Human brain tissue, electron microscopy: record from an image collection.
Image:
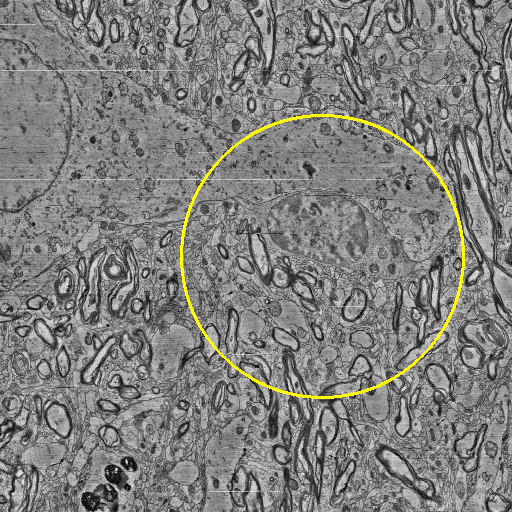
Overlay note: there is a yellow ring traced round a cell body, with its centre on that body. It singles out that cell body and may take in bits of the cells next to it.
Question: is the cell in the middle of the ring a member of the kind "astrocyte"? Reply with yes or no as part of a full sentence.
No, the image's ringed cell, the one at the ring's centre, is a member of another kind.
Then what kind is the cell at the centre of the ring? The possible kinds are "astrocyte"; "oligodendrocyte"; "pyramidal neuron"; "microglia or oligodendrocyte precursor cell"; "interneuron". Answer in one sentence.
The ring holds an oligodendrocyte at its centre.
